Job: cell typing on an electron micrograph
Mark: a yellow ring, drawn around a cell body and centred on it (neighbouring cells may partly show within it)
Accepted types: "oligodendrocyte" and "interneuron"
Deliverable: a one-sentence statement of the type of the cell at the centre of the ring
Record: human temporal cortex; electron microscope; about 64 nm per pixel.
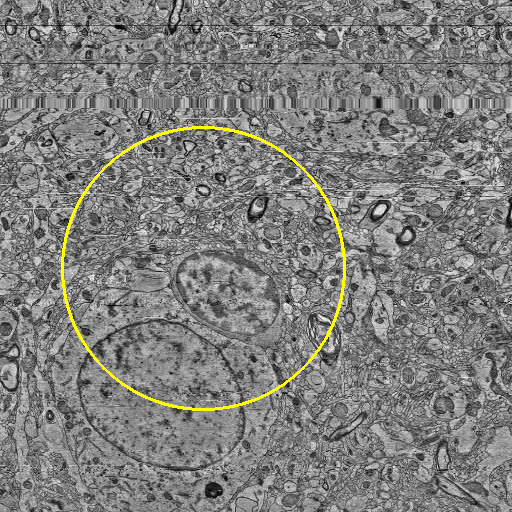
The centred cell body is that of an oligodendrocyte.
